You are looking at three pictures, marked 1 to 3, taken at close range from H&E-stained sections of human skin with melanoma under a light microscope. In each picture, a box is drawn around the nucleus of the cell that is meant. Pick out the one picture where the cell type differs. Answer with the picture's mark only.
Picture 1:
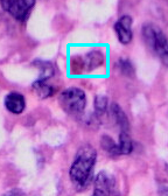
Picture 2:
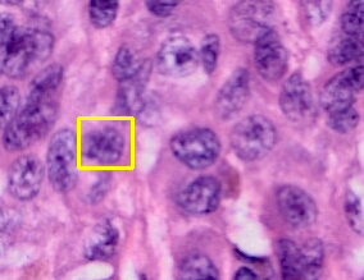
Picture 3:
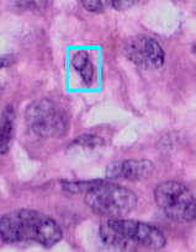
2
